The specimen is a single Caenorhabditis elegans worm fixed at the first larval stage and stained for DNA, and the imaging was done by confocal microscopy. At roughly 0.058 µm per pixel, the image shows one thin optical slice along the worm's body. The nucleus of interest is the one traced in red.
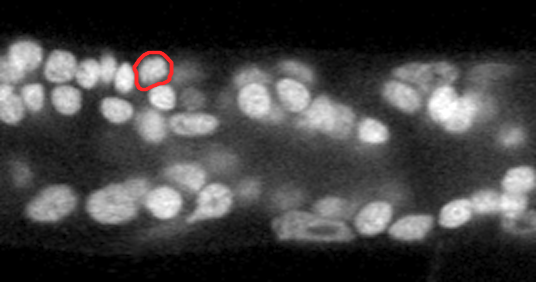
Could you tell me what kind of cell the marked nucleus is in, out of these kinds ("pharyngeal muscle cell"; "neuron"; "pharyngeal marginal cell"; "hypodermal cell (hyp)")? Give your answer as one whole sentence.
It is the nucleus of a neuron.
